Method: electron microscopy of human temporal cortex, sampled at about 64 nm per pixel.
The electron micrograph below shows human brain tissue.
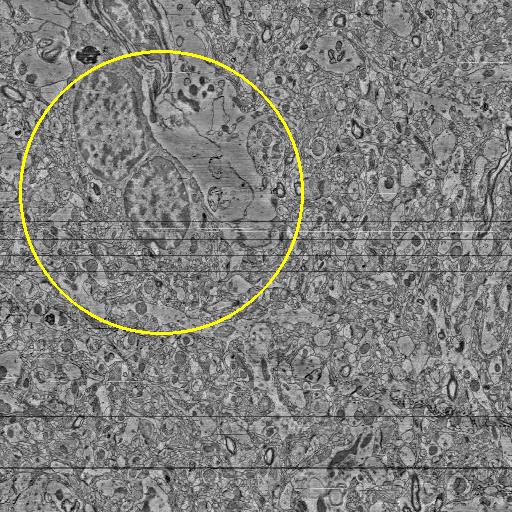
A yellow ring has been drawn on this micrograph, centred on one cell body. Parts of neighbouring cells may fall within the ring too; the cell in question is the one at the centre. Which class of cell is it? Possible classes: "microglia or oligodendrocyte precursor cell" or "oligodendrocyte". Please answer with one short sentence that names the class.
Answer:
In the centre of the ring sits an oligodendrocyte.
